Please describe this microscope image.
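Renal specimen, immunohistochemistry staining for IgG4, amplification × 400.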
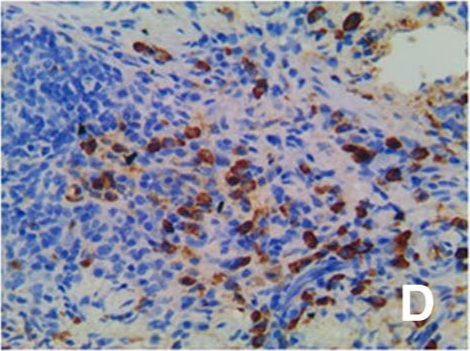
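The brown cells are round to oval, with the brown colour filling the cytoplasm around a nucleus. They lie scattered and in loose clusters among many blue-counterstained nuclei, some small and round, others elongated and spindle-shaped in the fibrous background. The brown cells gather most densely in the middle and lower part of the field.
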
